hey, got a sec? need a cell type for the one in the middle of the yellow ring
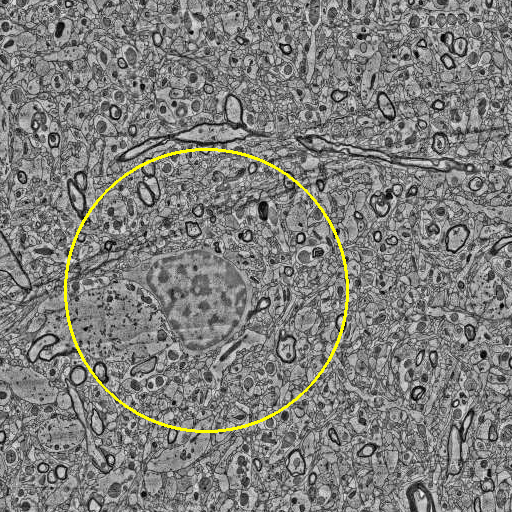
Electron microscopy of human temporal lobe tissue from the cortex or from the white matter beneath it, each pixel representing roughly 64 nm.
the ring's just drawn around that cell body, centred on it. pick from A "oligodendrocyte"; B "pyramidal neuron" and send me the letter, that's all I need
A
